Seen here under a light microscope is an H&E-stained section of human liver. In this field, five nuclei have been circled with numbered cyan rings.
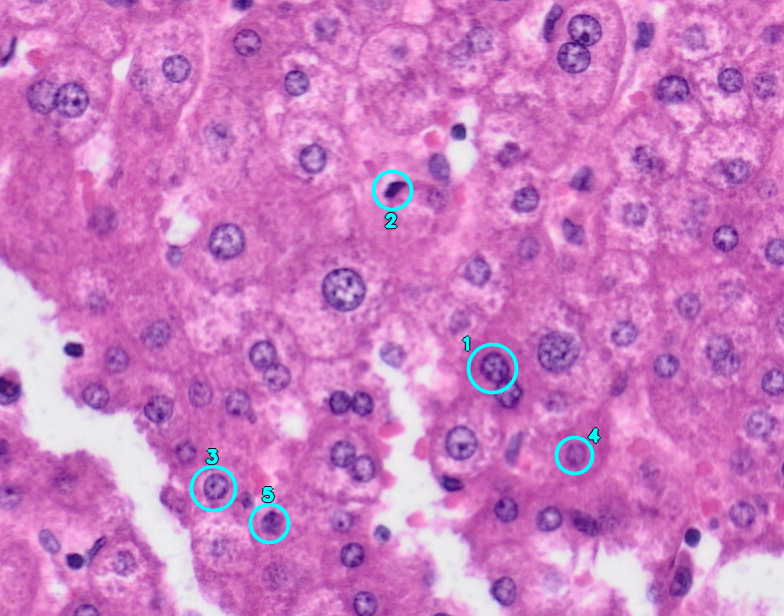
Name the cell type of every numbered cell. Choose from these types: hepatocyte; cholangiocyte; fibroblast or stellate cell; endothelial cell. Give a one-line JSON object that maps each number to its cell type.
{"1": "hepatocyte", "2": "endothelial cell", "3": "hepatocyte", "4": "hepatocyte", "5": "endothelial cell"}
